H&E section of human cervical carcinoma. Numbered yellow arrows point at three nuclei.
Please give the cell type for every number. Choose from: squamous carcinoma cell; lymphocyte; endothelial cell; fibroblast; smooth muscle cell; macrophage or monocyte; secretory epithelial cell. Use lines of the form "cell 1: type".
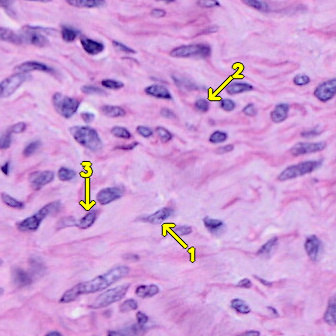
cell 1: fibroblast
cell 2: smooth muscle cell
cell 3: smooth muscle cell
